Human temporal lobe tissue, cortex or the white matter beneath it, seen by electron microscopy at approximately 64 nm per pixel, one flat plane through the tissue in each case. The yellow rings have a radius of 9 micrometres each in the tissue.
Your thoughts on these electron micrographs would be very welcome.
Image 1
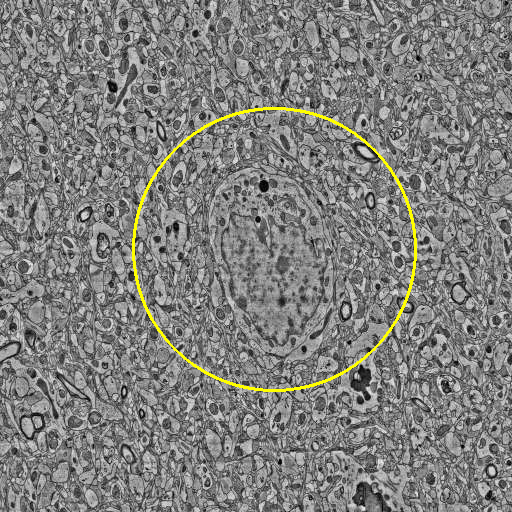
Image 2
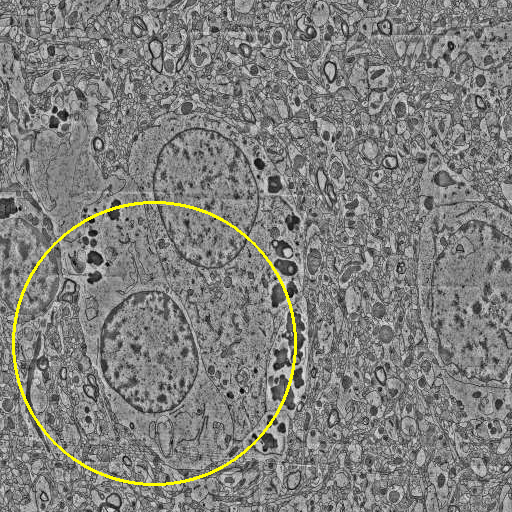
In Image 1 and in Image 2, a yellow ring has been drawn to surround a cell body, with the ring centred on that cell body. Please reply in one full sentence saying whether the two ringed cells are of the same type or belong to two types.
The ringed cells in Image 1 and Image 2 belong to two types.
